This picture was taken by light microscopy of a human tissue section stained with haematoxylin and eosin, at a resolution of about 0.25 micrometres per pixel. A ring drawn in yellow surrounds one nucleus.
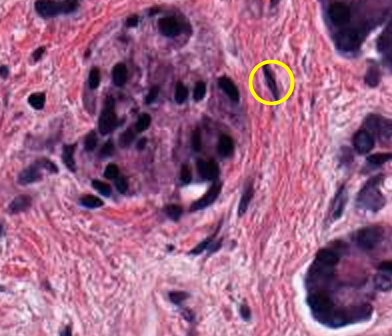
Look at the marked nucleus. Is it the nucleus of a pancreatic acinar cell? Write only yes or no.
no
